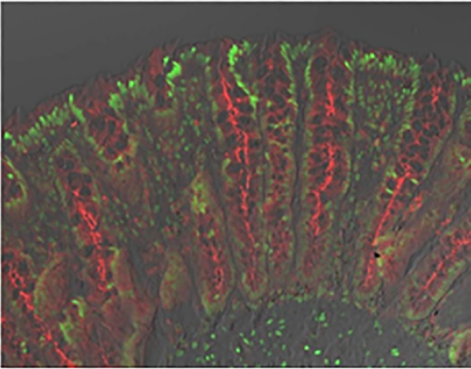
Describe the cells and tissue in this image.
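Colonic mucosa with parallel tubular crypts cut lengthwise, fluorescence overlaid on a grey transmitted-light image. Epithelial cells line each crypt, and red staining forms continuous thin lines running down the centre of the crypts along their lumens, marking the luminal face of the lining cells. Green nuclei are scattered along the epithelium and are densest near the surface and in a cluster of loose tissue at the base of the field. Pale, rounded unstained spaces in the crypt walls correspond to goblet cells, and lamina propria lies between adjacent crypts.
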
